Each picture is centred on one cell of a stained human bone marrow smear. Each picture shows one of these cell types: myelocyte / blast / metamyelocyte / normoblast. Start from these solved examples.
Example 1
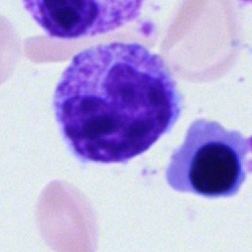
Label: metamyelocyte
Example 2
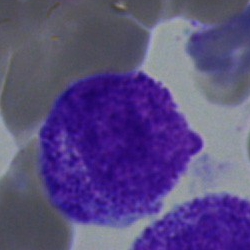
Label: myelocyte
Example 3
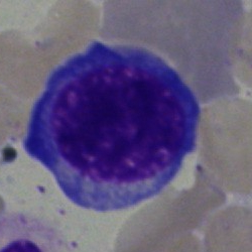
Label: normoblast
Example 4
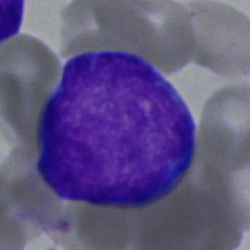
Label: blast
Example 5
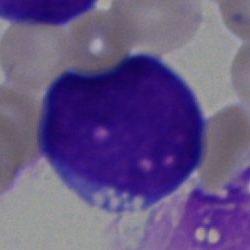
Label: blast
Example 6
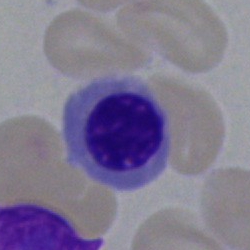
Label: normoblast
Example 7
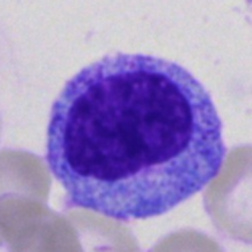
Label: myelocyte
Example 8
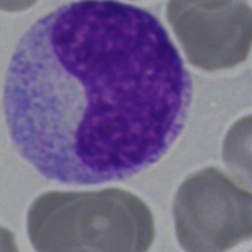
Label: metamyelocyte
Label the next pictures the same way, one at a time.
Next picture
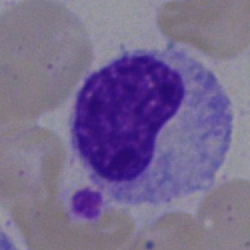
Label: metamyelocyte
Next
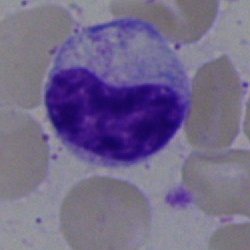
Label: metamyelocyte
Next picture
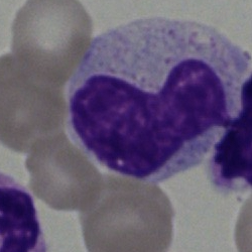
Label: metamyelocyte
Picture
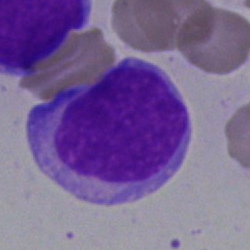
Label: blast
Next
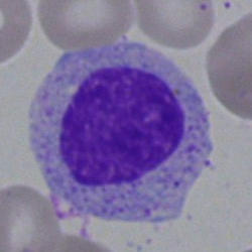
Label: myelocyte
